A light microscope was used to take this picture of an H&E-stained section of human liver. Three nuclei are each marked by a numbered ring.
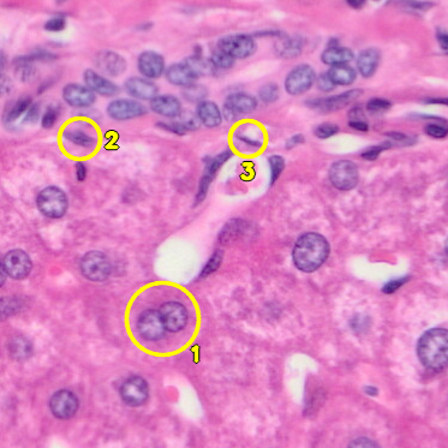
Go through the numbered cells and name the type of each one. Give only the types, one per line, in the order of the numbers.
hepatocyte
fibroblast or stellate cell
fibroblast or stellate cell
